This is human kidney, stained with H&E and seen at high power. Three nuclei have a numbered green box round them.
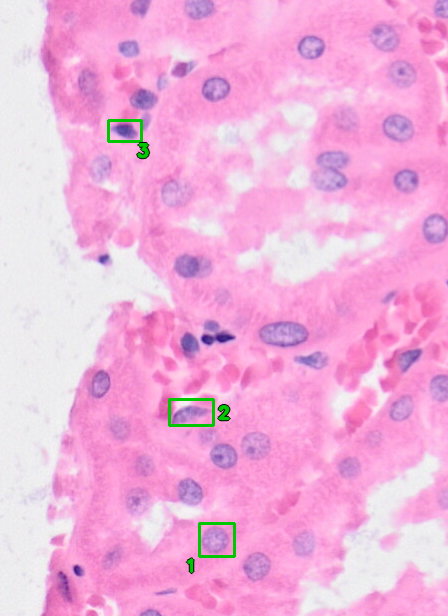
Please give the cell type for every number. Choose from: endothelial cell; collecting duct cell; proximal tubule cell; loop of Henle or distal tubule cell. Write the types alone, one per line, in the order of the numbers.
proximal tubule cell
endothelial cell
endothelial cell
